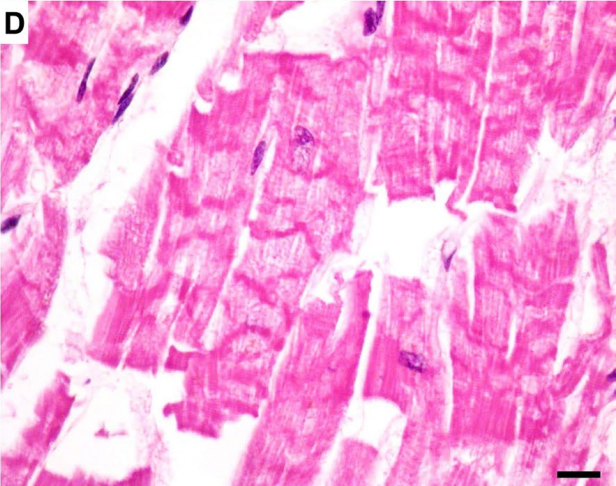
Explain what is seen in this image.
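At high magnification, pink heart muscle fibers show dense, deeply stained transverse bands that alternate with paler, clearer zones along their length, and the fibers are separated by white gaps. A few elongated dark nuclei lie at the edges of the fibers. This is contraction band necrosis of myocytes.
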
